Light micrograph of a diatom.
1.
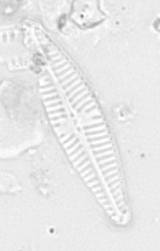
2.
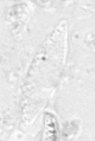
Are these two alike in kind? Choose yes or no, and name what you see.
No. First Navicula, second Nitzschia.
